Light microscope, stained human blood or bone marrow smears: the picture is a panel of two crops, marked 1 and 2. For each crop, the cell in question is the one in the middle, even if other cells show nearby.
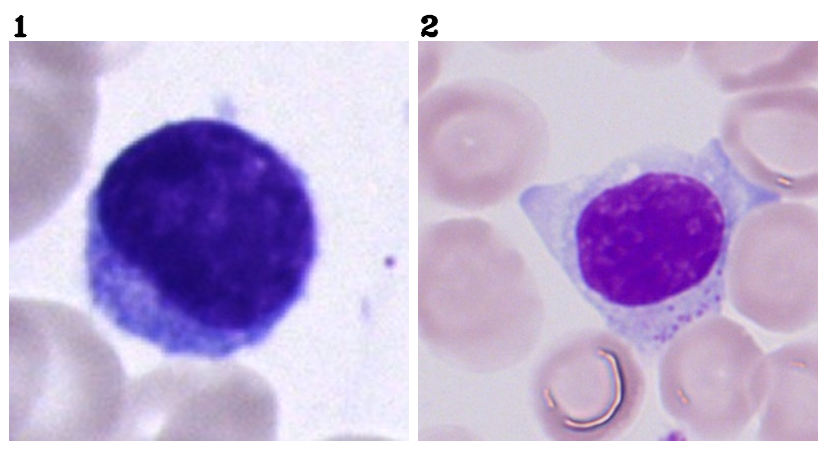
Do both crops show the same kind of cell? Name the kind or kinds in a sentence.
Yes, the cells centred in the two crops are both lymphocytes.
